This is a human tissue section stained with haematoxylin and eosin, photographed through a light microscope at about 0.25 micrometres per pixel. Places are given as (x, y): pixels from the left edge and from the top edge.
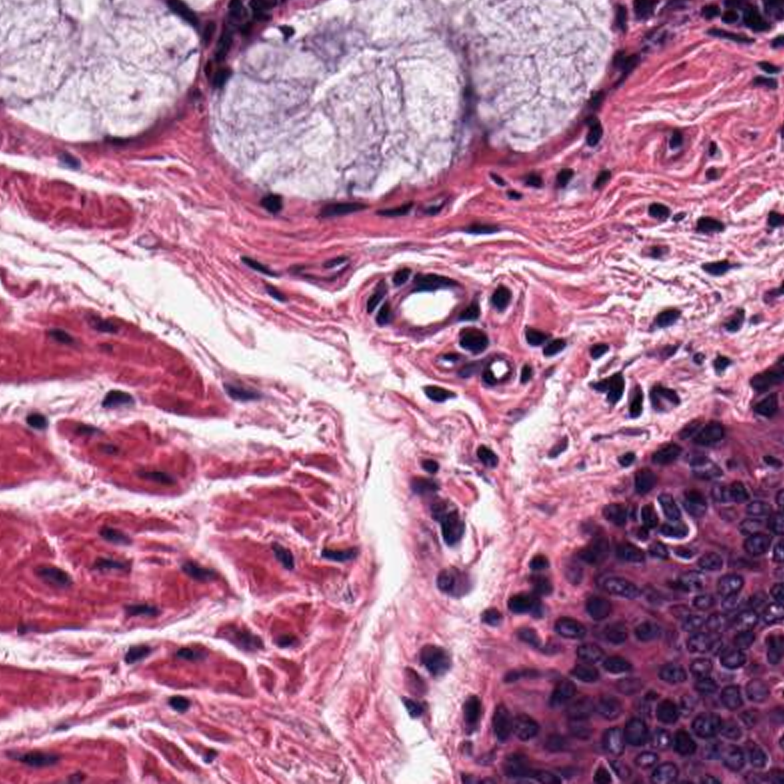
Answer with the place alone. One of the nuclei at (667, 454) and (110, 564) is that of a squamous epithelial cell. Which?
(667, 454)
